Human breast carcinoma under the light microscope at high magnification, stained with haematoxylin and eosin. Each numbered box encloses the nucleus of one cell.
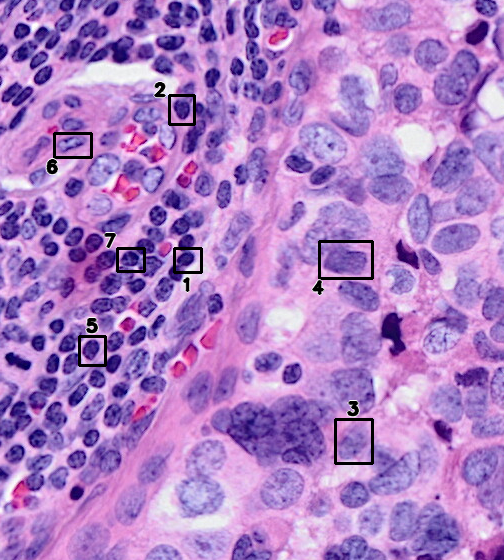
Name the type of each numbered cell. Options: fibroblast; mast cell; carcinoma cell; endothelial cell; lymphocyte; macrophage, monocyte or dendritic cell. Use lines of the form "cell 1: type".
cell 1: lymphocyte
cell 2: lymphocyte
cell 3: carcinoma cell
cell 4: carcinoma cell
cell 5: lymphocyte
cell 6: endothelial cell
cell 7: lymphocyte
